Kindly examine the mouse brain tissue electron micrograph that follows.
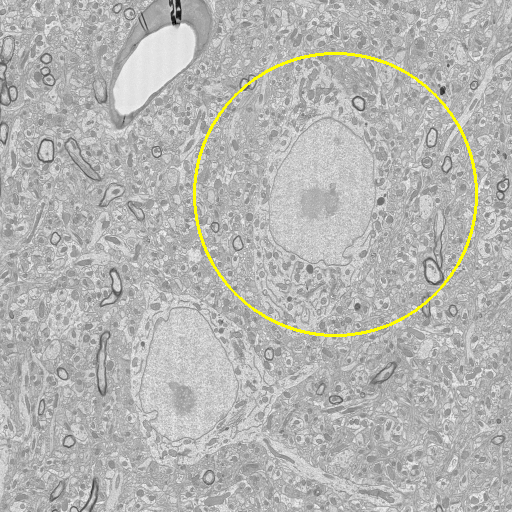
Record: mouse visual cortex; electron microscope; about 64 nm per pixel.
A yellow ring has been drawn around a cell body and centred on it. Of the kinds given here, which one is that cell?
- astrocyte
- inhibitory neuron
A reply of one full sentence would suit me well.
The micrograph's ringed cell, the one at the ring's centre, is an inhibitory neuron.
